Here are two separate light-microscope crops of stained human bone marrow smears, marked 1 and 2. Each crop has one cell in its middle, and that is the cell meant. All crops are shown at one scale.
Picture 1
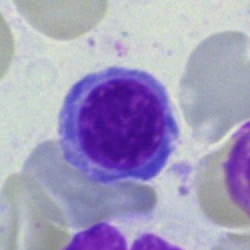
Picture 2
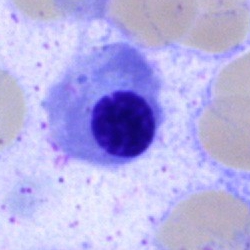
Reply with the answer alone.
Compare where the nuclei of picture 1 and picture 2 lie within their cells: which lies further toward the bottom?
2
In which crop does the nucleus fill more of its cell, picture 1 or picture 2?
1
